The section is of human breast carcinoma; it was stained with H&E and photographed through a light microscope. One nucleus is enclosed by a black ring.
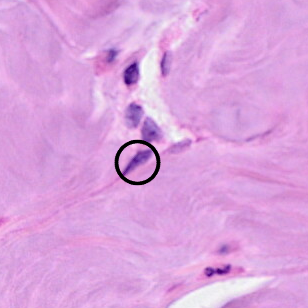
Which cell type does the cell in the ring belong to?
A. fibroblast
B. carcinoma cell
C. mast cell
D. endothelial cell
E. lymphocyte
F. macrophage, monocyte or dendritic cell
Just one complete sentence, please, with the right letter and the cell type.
Under option A, the cell in the ring is a fibroblast, which is the correct identification.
